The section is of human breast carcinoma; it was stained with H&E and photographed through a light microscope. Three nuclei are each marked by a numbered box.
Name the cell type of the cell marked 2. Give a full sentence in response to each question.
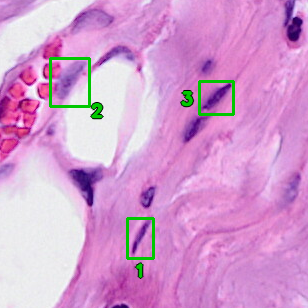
Looking at the numbered marks, cell 2 is an endothelial cell.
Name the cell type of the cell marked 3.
Belonging to a fibroblast is the nucleus that carries the number 3.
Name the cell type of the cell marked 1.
Regarding cell 1, this one is a fibroblast.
